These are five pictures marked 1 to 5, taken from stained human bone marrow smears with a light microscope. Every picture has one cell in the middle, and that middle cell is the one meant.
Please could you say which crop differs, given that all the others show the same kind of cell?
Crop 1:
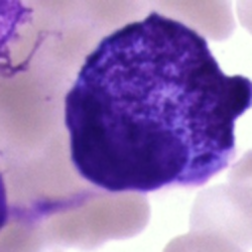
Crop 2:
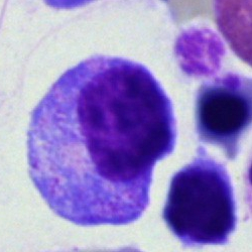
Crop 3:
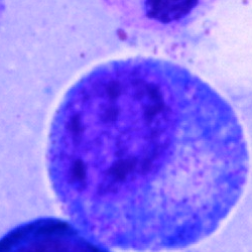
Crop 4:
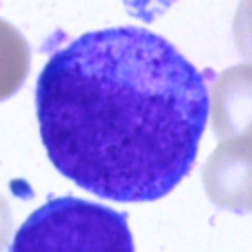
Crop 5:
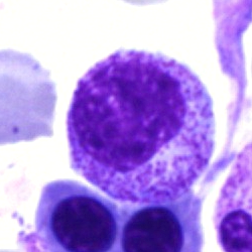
5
